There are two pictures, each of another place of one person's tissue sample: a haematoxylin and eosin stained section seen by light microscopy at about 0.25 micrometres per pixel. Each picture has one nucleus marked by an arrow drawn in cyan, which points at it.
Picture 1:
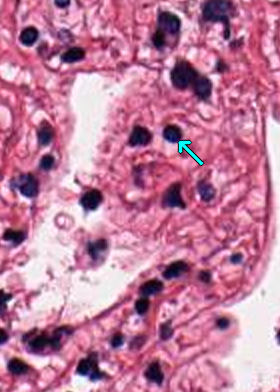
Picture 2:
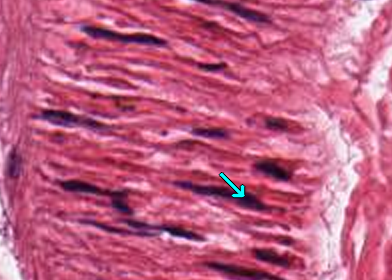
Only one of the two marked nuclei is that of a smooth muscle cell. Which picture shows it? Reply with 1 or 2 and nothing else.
2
